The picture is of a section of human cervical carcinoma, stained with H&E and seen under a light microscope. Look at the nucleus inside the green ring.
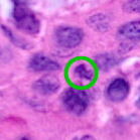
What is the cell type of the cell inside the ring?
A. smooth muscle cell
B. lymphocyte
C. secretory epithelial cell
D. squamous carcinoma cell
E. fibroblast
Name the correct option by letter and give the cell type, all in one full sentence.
Option D is correct; the cell inside the ring is a squamous carcinoma cell.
